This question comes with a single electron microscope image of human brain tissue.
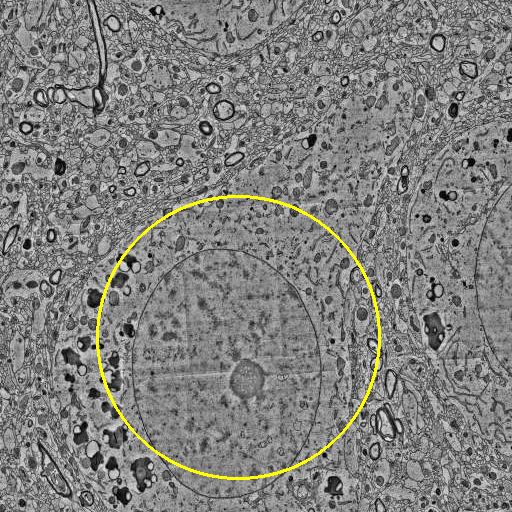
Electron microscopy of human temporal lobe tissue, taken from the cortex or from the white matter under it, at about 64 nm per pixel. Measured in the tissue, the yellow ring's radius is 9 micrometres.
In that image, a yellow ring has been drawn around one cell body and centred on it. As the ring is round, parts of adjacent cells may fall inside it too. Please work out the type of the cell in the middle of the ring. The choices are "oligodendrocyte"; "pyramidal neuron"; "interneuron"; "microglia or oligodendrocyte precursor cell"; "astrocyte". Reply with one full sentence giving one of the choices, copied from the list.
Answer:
Of the choices, a pyramidal neuron is the cell sitting in the middle of the ring.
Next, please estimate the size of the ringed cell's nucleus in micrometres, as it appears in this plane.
About 16 by 13 micrometers, in this plane.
